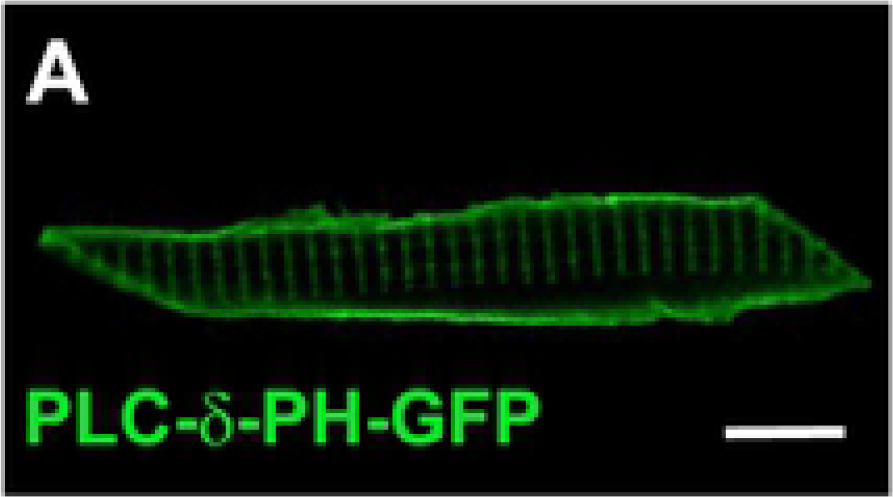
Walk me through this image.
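A single elongated skeletal muscle fiber is seen, tapering to points at both ends. Green fluorescence outlines the cell border brightly. The background around the fiber is dark.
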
